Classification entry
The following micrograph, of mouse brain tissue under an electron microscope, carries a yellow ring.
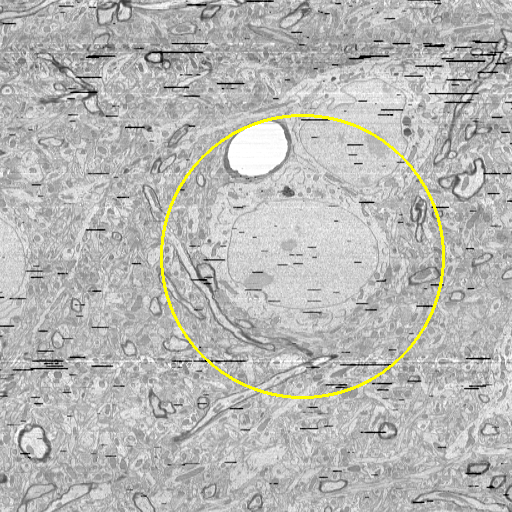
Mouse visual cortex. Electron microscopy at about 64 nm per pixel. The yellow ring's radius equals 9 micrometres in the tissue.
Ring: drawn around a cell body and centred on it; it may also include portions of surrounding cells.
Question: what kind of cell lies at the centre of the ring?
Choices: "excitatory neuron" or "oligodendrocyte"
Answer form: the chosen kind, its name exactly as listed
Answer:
excitatory neuron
